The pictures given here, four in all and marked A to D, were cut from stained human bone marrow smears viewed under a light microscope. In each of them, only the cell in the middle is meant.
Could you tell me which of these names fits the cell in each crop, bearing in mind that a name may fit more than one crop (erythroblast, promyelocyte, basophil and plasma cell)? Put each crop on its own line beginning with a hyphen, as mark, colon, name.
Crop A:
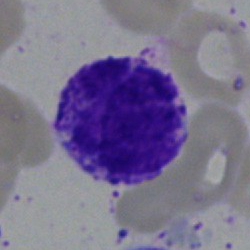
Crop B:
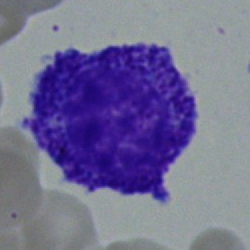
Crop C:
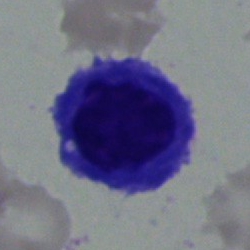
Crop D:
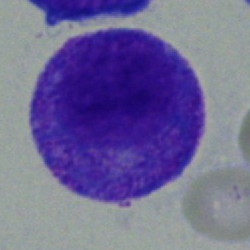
- A: basophil
- B: promyelocyte
- C: plasma cell
- D: promyelocyte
